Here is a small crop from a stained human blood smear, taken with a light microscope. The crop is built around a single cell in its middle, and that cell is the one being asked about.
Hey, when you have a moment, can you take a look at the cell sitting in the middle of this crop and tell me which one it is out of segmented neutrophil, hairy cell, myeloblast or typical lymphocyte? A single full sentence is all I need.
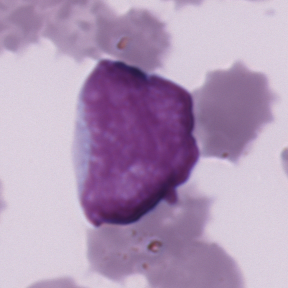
The target cell in the middle of the crop is a myeloblast.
